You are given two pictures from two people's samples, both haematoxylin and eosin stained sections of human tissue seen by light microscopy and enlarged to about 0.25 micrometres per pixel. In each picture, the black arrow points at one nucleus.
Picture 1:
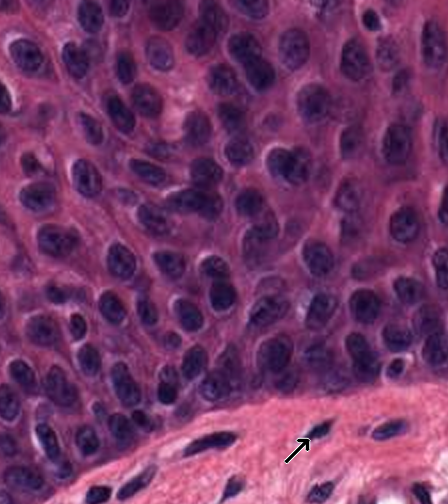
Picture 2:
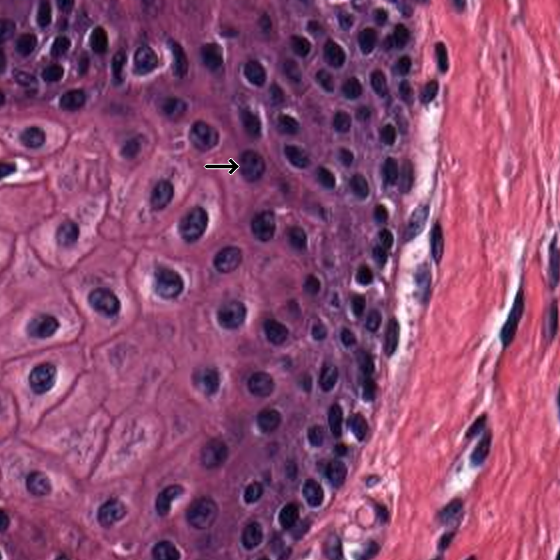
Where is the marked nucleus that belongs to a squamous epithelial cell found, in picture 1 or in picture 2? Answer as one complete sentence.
A nucleus of a squamous epithelial cell is the one marked in picture 2.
